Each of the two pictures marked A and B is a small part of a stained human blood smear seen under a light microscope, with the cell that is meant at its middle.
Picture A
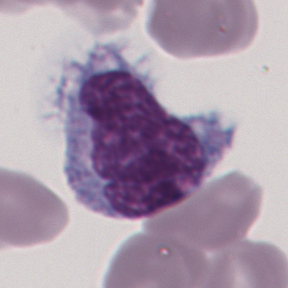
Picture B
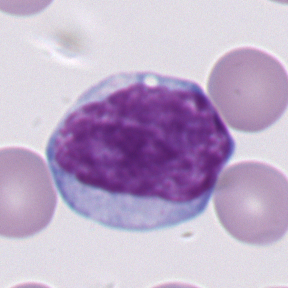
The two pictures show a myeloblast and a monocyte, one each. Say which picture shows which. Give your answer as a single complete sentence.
Picture B shows a myeloblast, while picture A shows a monocyte.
